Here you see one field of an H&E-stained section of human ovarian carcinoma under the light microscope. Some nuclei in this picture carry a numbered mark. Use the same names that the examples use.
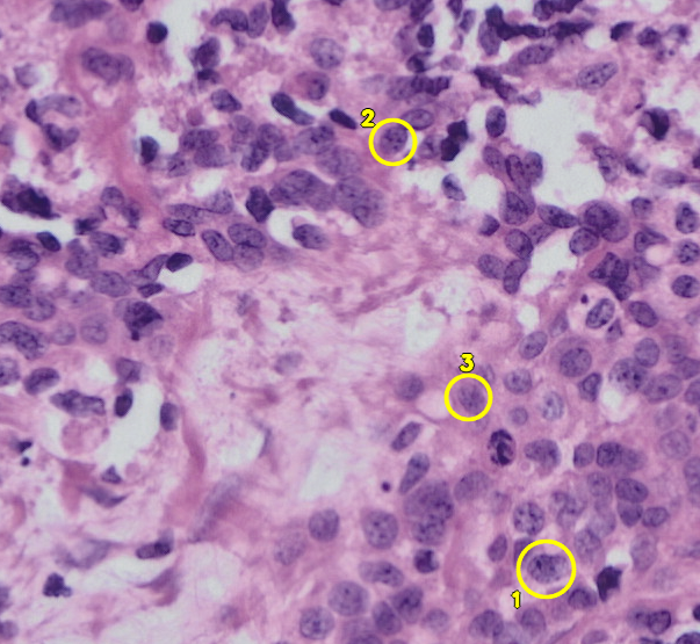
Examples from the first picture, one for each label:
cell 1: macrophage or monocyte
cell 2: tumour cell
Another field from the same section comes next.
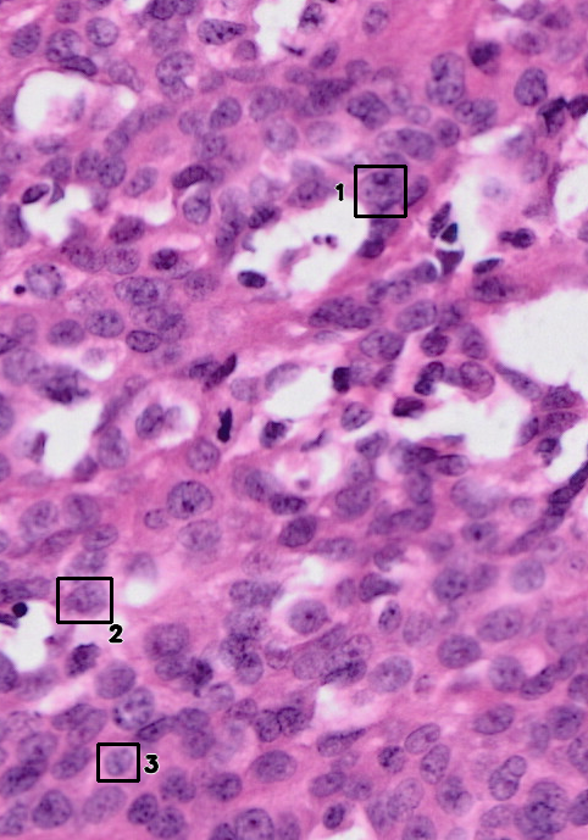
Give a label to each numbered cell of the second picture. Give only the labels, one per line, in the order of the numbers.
tumour cell
tumour cell
macrophage or monocyte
